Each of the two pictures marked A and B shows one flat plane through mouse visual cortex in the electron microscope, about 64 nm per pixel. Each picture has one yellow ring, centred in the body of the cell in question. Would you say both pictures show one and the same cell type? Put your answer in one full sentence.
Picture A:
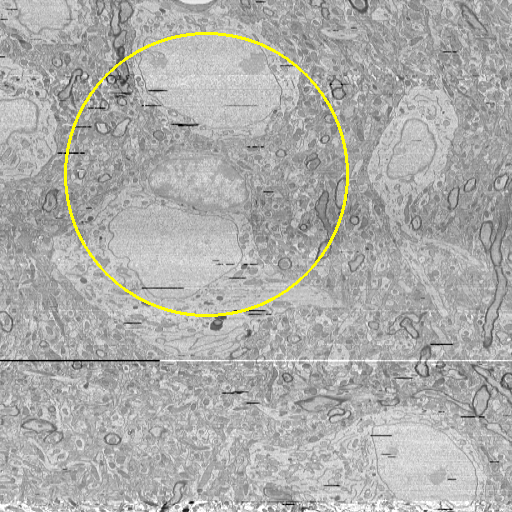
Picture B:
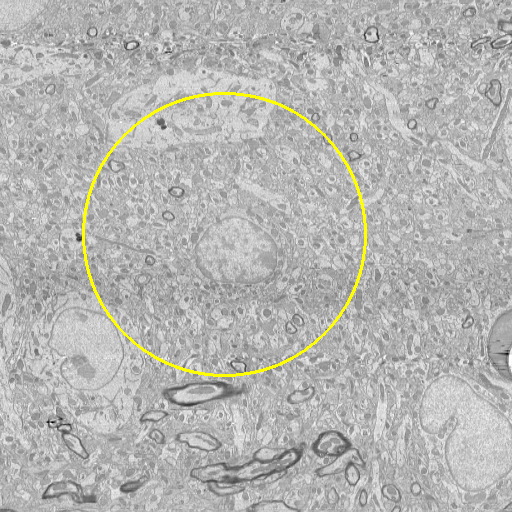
Yes, both are oligodendrocytes.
